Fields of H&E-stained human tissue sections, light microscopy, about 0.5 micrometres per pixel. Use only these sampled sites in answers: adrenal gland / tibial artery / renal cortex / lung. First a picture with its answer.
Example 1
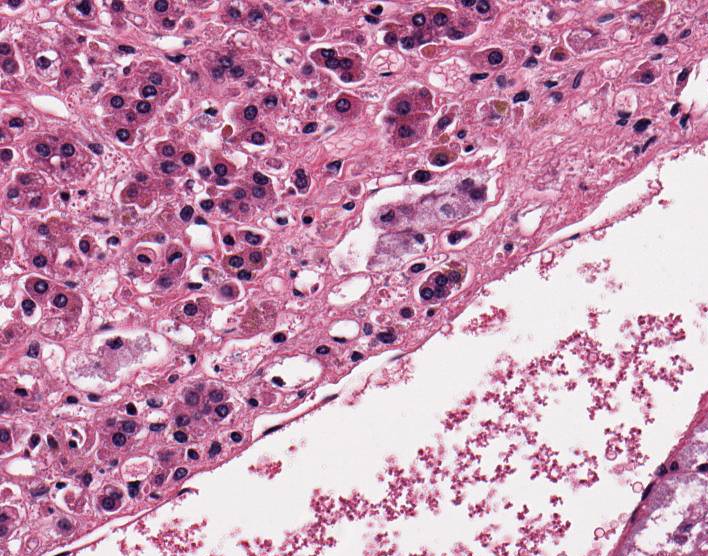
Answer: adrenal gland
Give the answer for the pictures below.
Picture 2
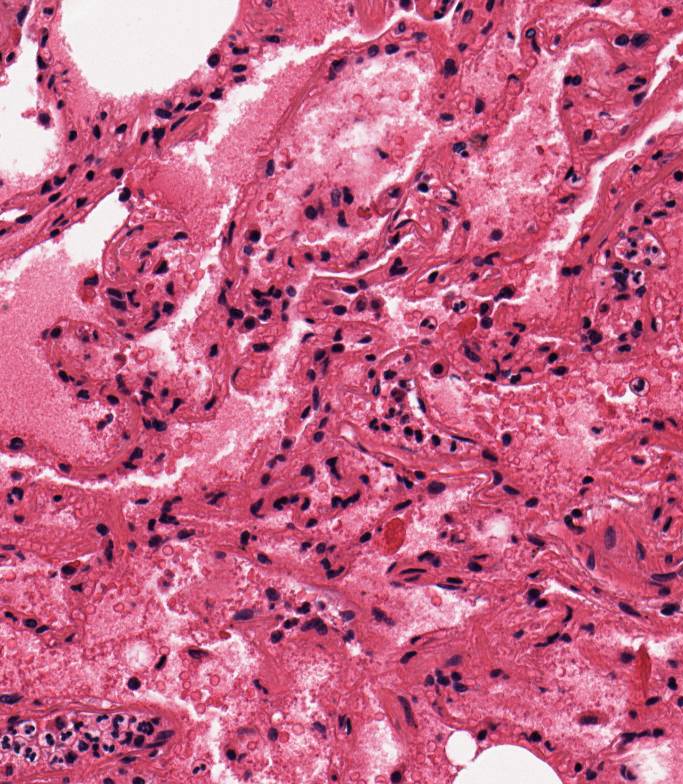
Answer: lung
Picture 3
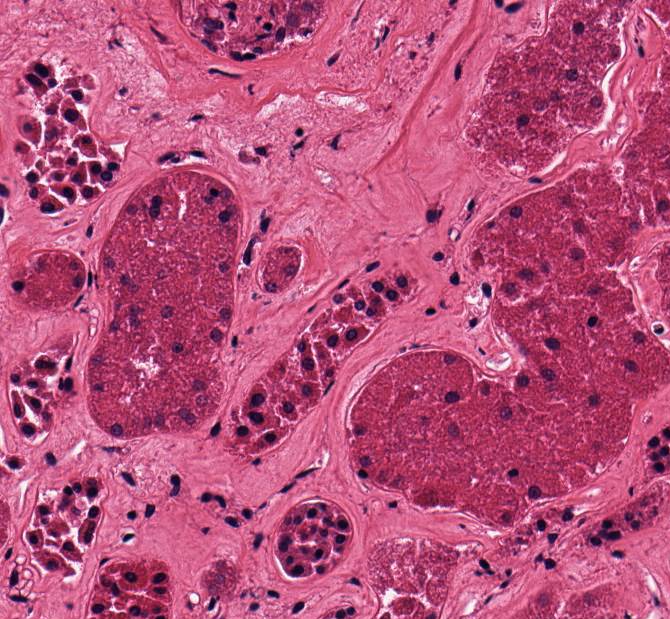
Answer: renal cortex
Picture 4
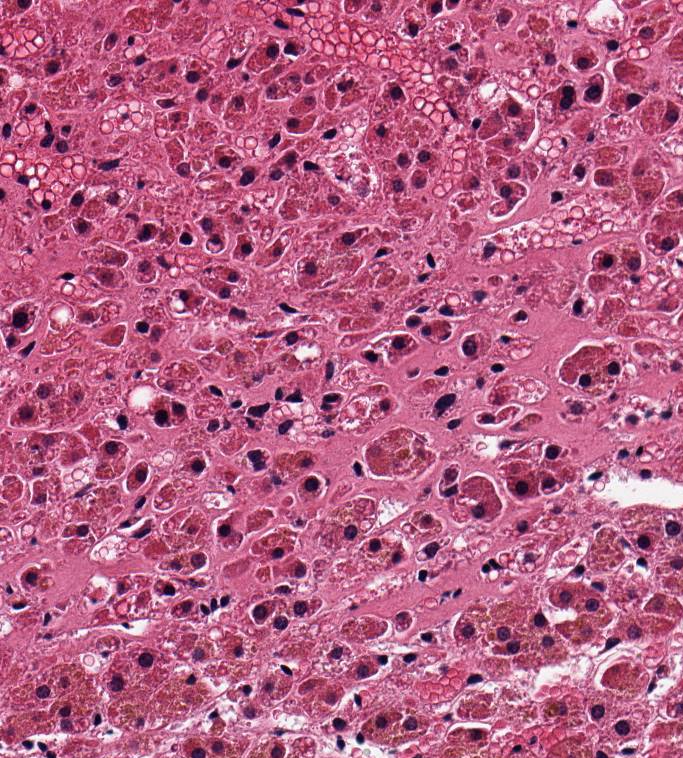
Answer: adrenal gland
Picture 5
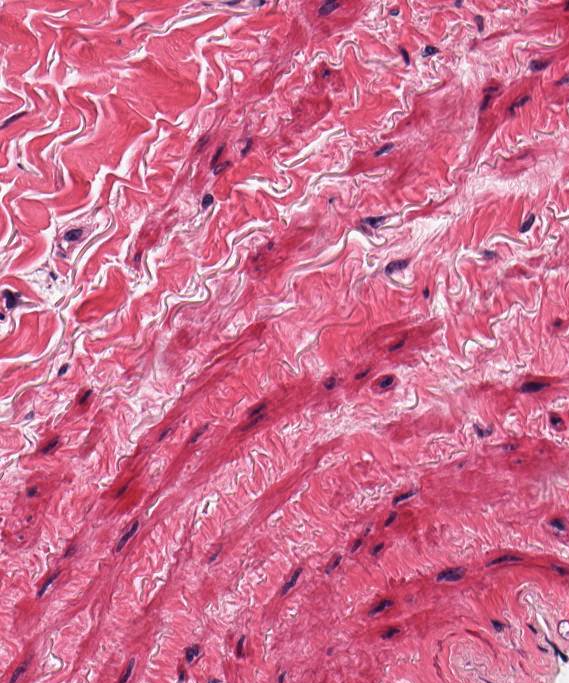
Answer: tibial artery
